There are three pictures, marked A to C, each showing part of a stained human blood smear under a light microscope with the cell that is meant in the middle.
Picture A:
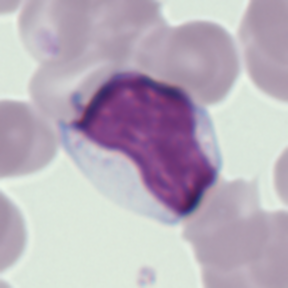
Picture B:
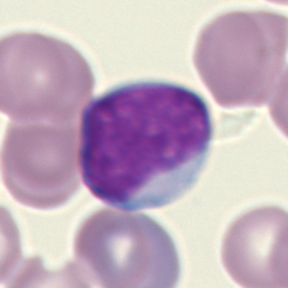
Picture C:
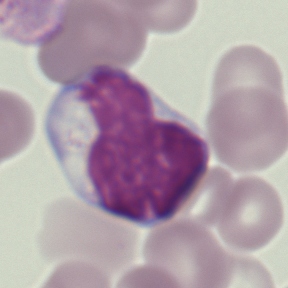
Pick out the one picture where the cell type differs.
B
